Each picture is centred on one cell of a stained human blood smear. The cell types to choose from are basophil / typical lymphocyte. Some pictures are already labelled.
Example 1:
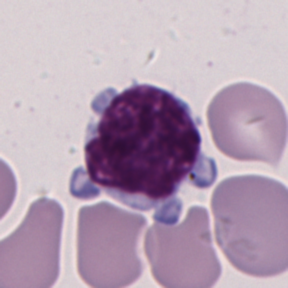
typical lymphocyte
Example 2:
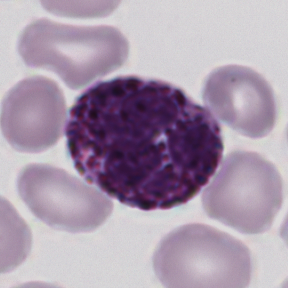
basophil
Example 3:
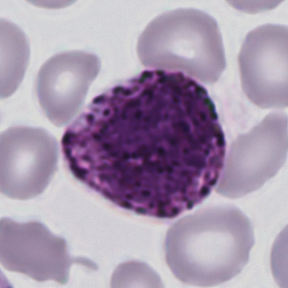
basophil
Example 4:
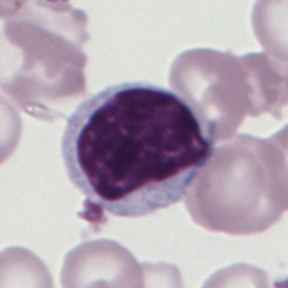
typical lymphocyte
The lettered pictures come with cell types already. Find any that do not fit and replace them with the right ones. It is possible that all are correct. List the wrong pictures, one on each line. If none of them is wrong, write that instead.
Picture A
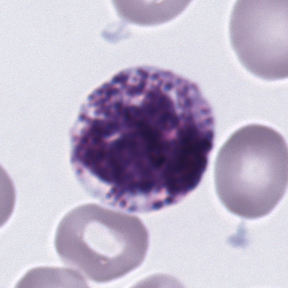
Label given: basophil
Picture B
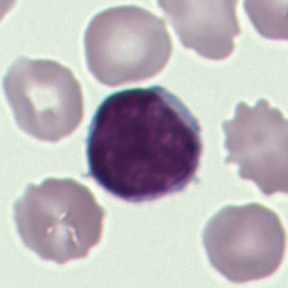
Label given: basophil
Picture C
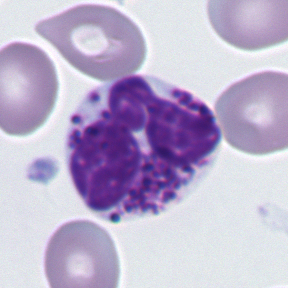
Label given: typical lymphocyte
B: not basophil but typical lymphocyte
C: not typical lymphocyte but basophil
